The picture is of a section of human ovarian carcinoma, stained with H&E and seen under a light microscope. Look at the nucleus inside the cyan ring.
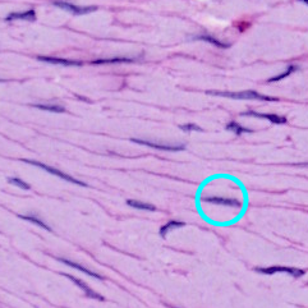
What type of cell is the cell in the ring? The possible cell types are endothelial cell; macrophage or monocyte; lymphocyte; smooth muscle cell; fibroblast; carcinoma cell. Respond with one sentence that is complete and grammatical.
As far as its identity is concerned, the cell in the ring is a fibroblast.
